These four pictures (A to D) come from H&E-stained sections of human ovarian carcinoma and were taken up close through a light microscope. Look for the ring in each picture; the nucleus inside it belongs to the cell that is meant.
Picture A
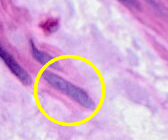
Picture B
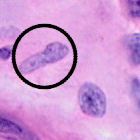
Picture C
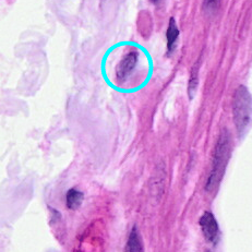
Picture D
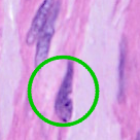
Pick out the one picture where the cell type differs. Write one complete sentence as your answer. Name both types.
The others show smooth muscle cells, but picture C shows a fibroblast.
